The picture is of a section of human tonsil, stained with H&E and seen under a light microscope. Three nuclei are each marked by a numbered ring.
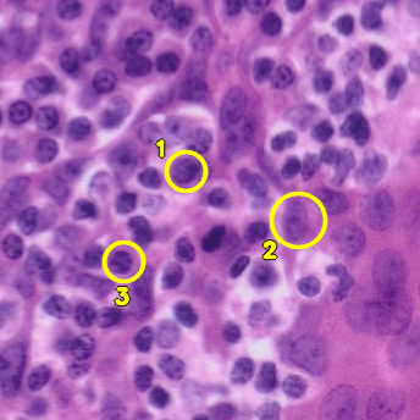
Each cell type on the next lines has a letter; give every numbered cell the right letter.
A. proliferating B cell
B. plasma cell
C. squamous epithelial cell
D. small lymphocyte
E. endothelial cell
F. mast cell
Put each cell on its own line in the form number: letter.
1: B
2: C
3: B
